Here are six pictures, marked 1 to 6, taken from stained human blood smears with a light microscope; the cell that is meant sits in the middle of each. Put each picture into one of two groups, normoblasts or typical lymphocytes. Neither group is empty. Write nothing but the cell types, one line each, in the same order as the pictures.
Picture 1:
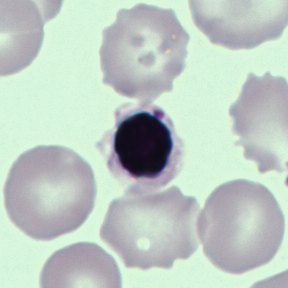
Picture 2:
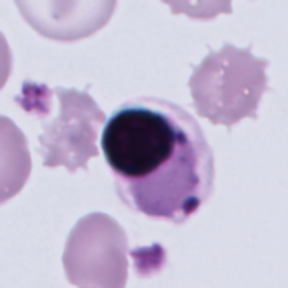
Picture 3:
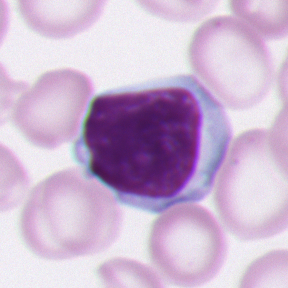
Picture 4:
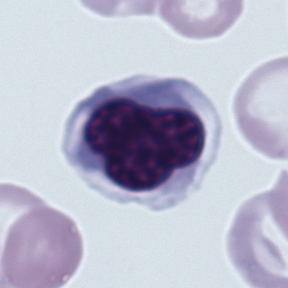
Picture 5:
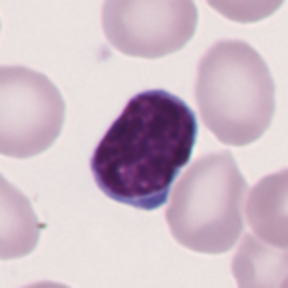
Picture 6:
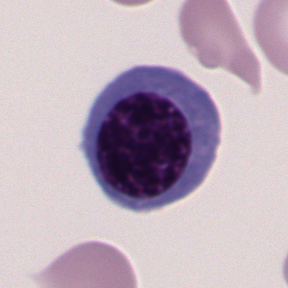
normoblast
normoblast
typical lymphocyte
normoblast
typical lymphocyte
normoblast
